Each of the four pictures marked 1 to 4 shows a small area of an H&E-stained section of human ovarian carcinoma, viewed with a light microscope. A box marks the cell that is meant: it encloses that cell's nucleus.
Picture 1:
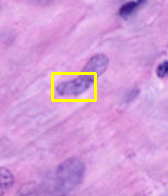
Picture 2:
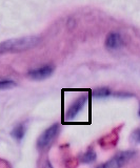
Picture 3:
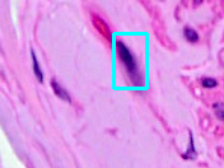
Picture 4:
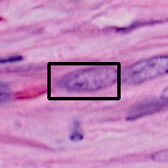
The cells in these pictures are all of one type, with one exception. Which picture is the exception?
1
